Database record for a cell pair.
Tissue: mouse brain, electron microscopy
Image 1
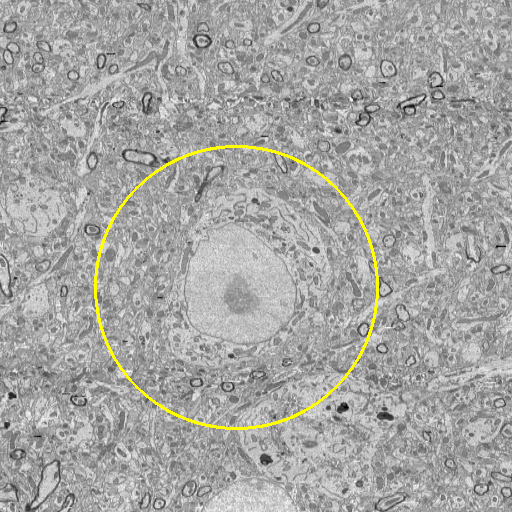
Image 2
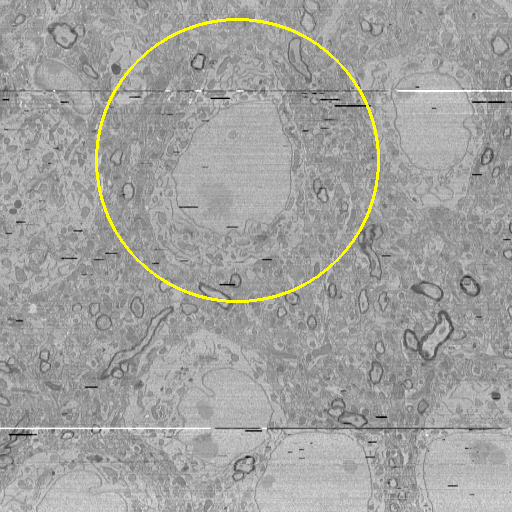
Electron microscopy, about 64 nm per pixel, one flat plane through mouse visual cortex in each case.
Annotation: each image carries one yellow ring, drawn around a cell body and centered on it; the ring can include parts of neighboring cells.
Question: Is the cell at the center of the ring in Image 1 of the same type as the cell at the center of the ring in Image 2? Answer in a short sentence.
Yes, the cells are of the same type.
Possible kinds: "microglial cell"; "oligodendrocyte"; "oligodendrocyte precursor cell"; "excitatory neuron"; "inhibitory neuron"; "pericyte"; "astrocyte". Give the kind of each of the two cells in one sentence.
Both the first and the second picture show an inhibitory neuron in the ring.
